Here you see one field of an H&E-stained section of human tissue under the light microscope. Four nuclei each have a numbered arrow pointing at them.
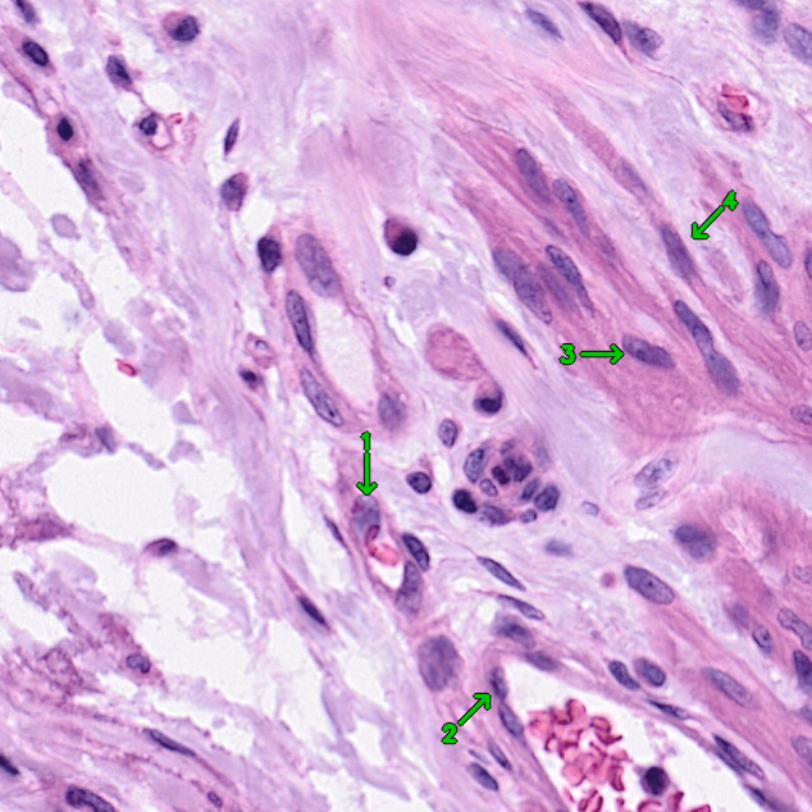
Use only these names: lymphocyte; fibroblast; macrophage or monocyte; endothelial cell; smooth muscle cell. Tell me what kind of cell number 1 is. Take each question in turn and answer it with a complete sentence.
The nucleus labeled 1 belongs to an endothelial cell.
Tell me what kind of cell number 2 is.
Cell 2, as marked in the section, is an endothelial cell.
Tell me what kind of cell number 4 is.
Of the numbered cells, the one labelled 4 is a smooth muscle cell.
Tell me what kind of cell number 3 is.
The label 3 in this section denotes a smooth muscle cell.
